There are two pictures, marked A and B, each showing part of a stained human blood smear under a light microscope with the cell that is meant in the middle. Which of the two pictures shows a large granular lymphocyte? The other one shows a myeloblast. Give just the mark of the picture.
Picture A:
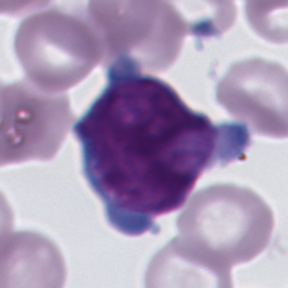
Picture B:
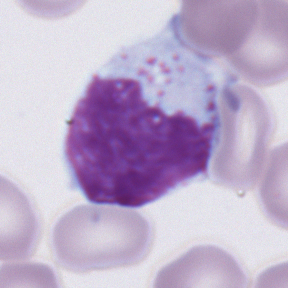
B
